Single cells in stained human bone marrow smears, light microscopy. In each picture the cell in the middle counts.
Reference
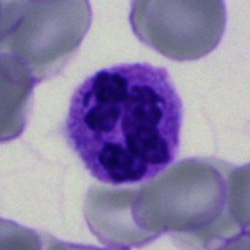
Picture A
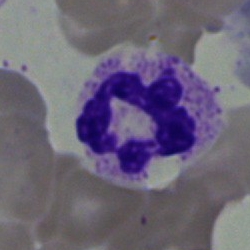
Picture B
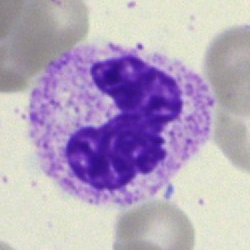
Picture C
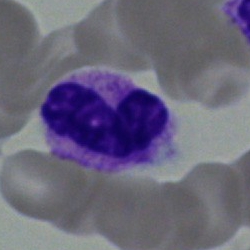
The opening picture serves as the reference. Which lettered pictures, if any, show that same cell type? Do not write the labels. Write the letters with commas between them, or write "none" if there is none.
A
